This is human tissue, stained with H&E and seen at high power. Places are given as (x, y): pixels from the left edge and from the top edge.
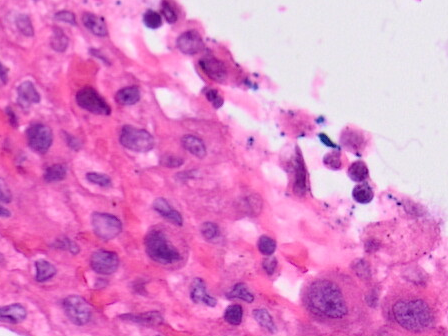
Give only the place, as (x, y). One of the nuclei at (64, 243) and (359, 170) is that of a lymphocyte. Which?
(359, 170)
